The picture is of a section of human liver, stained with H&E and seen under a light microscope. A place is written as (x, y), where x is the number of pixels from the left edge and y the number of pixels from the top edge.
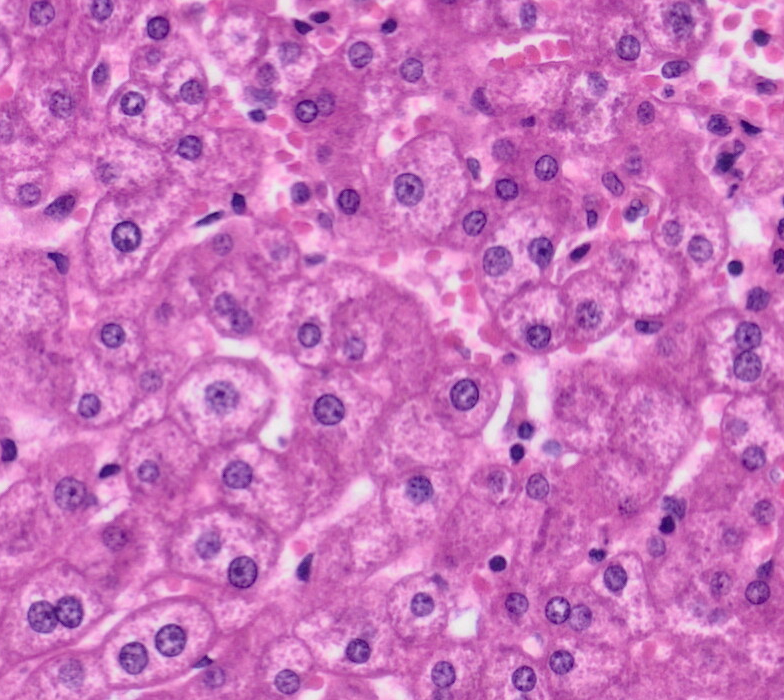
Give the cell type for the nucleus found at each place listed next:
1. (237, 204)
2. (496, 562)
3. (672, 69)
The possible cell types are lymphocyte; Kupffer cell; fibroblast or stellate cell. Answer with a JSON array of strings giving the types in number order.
["fibroblast or stellate cell", "lymphocyte", "Kupffer cell"]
